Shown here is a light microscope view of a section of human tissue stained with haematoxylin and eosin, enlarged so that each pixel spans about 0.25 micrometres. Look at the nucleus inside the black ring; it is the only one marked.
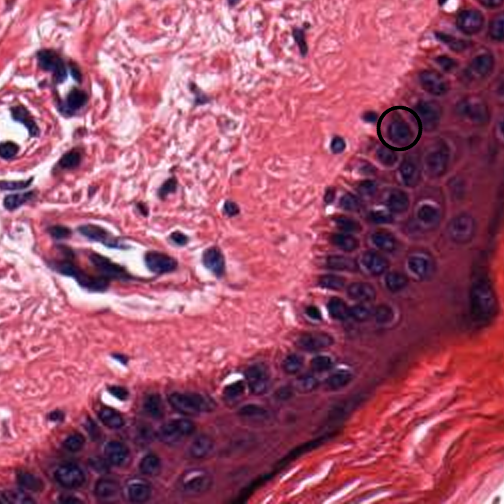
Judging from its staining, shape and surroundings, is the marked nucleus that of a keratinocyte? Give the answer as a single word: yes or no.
yes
